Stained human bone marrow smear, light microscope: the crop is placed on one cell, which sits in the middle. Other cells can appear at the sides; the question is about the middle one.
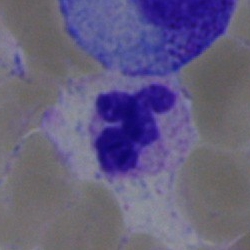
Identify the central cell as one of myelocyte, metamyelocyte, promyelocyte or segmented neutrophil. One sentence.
The central cell shown in this smear crop is a segmented neutrophil.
